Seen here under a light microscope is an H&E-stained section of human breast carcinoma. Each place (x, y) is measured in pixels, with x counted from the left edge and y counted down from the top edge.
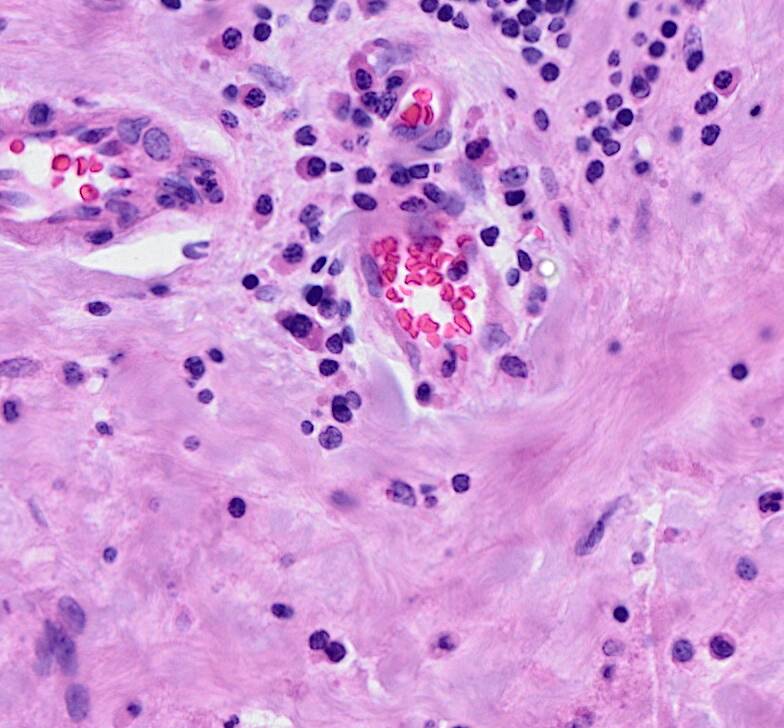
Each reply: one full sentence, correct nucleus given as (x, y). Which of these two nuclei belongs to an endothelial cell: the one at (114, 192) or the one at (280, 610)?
Answering which nucleus it is: the one at (114, 192), belonging to an endothelial cell.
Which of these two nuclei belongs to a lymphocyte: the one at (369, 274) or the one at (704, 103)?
The one belonging to a lymphocyte is the nucleus at (704, 103), not the other.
